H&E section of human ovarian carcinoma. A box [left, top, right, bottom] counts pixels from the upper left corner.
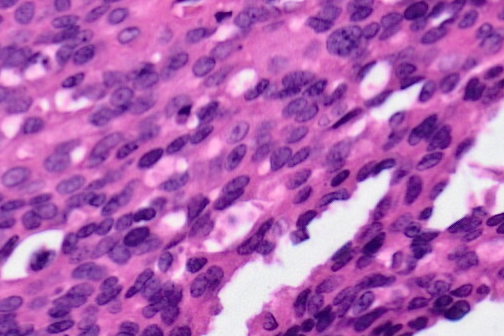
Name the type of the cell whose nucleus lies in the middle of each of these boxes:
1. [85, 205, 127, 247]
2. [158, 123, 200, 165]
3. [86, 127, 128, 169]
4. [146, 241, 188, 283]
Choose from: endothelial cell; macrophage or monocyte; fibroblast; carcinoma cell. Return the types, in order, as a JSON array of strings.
["carcinoma cell", "carcinoma cell", "carcinoma cell", "macrophage or monocyte"]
